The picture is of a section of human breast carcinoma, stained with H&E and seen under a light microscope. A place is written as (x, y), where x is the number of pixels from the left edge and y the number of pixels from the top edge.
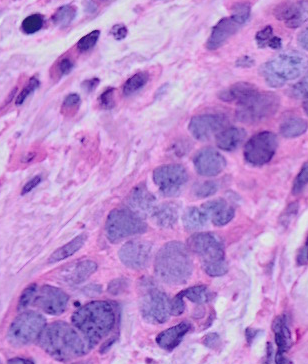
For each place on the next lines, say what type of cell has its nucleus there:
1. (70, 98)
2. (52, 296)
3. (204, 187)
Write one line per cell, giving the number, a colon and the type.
1: mast cell
2: carcinoma cell
3: carcinoma cell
